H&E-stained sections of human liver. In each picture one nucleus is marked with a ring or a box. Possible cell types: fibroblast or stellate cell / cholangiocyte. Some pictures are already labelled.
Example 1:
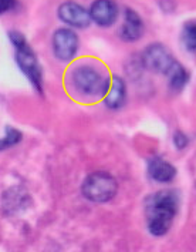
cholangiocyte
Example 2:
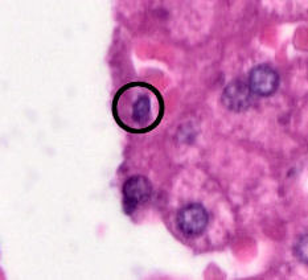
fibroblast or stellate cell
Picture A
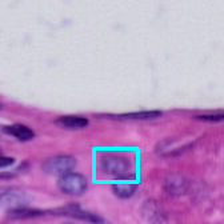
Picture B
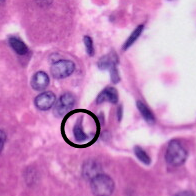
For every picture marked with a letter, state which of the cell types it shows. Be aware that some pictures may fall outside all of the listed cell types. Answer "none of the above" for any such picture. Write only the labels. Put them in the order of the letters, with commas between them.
cholangiocyte, fibroblast or stellate cell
